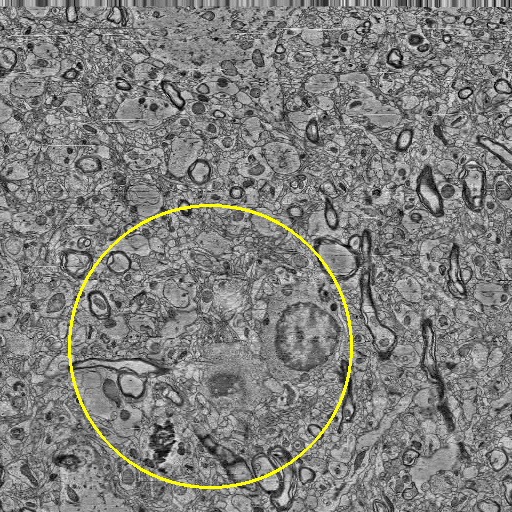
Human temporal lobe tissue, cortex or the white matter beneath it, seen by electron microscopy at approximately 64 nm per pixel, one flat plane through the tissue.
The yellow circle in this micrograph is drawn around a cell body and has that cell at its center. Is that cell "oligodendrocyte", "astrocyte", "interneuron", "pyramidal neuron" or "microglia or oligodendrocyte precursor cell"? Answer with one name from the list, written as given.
oligodendrocyte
